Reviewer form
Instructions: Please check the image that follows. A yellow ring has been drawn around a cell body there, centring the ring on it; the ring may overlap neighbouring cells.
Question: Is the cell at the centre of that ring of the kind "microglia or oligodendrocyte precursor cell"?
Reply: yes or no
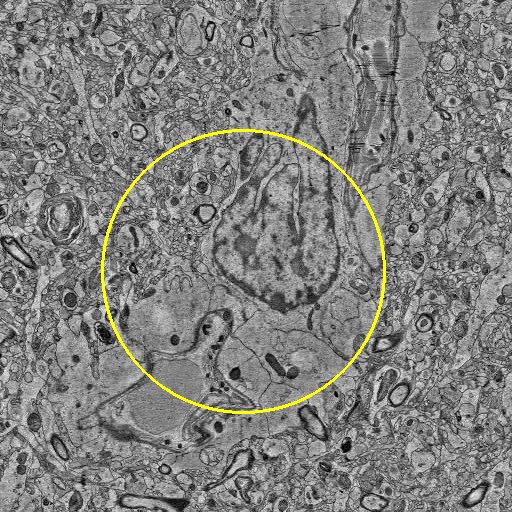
yes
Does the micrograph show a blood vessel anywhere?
Yes, the image shows a blood vessel.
